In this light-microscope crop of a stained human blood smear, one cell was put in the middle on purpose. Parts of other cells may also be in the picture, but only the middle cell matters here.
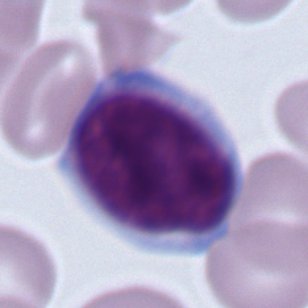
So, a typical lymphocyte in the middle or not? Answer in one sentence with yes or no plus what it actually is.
Yes, the cell shown centrally is a typical lymphocyte.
